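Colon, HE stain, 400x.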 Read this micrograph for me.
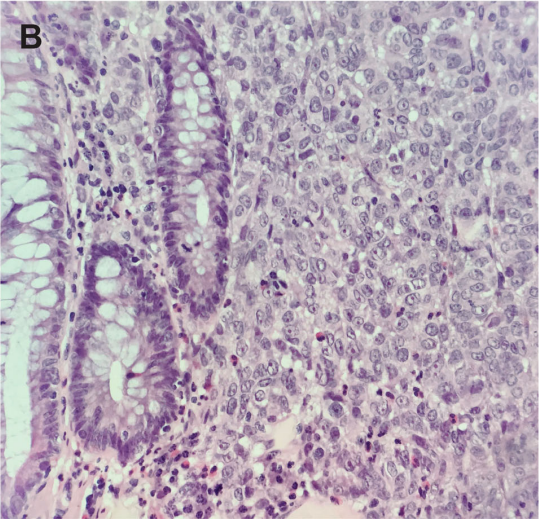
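The tumor cells are large and loosely cohesive, with round to oval vesicular nuclei, many holding a prominent nucleolus, and pale pink cytoplasm. Small dark lymphocytes are scattered between the glands and the tumor sheet.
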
